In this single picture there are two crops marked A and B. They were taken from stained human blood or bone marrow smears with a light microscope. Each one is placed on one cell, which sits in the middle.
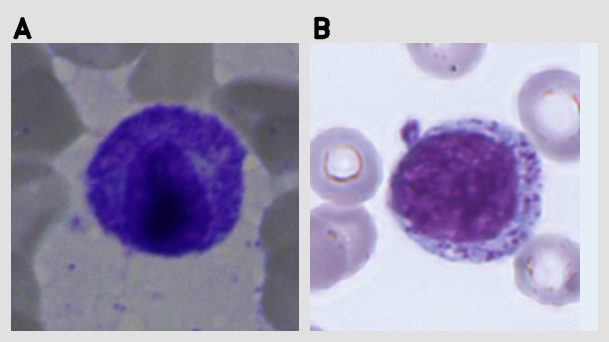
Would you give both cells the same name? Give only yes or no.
yes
